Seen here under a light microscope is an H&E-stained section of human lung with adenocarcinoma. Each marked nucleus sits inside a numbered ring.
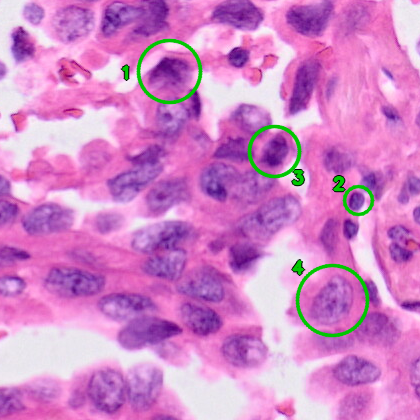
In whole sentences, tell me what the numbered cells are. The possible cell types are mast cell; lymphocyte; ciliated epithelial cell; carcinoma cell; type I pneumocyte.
Cells 1, 3 and 4 are carcinoma cells. Cell 2 is a lymphocyte.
